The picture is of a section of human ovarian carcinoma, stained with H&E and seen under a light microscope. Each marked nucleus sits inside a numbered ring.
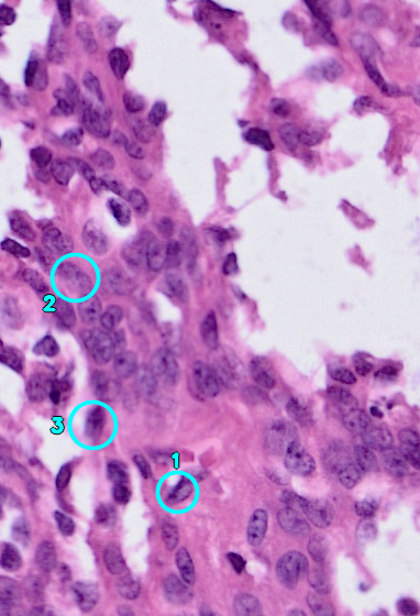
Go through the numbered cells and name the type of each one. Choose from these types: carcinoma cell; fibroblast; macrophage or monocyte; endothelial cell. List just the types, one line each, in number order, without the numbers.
endothelial cell
carcinoma cell
carcinoma cell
